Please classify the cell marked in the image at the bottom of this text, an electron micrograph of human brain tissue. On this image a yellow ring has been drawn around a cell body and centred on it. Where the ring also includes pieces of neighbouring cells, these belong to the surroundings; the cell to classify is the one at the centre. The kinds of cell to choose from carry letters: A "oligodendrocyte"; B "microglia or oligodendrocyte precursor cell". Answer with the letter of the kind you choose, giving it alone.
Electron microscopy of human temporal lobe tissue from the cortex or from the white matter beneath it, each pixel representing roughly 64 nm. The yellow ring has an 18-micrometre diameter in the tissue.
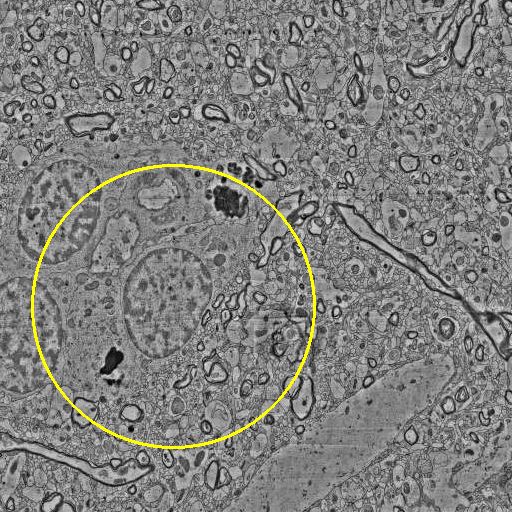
A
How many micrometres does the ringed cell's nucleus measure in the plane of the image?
The ringed cell's nucleus measures approximately 7 by 5 micrometres in this plane.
